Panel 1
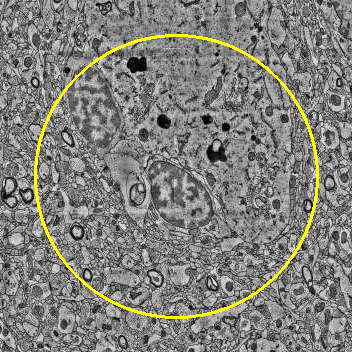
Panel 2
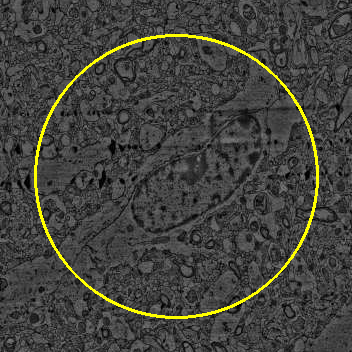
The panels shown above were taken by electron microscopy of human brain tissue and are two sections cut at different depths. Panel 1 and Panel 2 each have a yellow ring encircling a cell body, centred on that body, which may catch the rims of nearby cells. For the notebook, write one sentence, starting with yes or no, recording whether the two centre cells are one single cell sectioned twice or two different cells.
No, the two rings do not mark one cell; they mark two different cells.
